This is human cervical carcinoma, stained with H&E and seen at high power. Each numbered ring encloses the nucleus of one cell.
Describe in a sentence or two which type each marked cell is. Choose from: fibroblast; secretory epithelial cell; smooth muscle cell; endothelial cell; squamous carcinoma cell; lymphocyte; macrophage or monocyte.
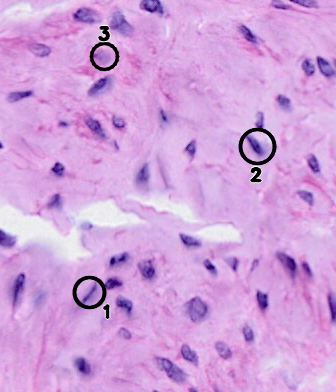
Cells 1 and 2 are fibroblasts. Cell 3 is a smooth muscle cell.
